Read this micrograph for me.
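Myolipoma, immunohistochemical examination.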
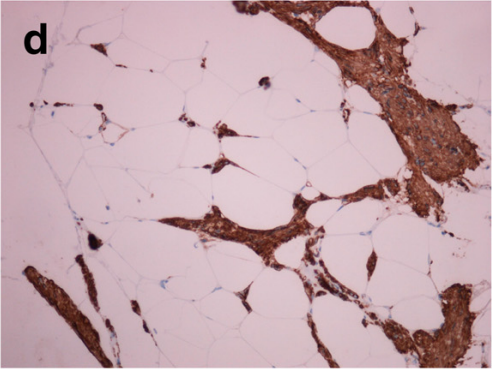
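Most of the field is taken up by large clear vacuoles with thin unstained walls, mature fat. Between them run brown-staining bands and branching strands, some thick and some only a few cells wide, with a few pale blue nuclei showing through. The brown tissue wraps around and between fat cells as elongated bundles. These stained bundles are the smooth muscle fibers lying among the fat.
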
